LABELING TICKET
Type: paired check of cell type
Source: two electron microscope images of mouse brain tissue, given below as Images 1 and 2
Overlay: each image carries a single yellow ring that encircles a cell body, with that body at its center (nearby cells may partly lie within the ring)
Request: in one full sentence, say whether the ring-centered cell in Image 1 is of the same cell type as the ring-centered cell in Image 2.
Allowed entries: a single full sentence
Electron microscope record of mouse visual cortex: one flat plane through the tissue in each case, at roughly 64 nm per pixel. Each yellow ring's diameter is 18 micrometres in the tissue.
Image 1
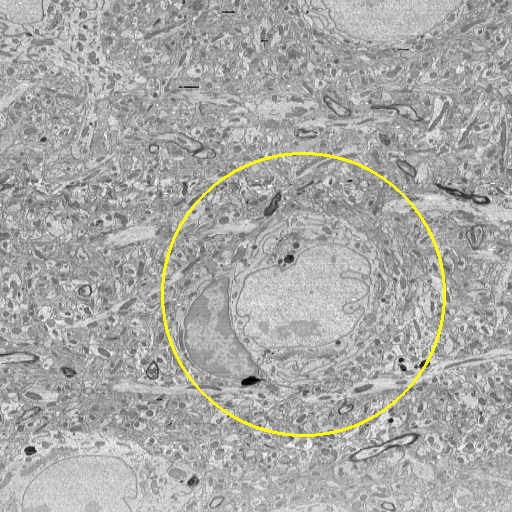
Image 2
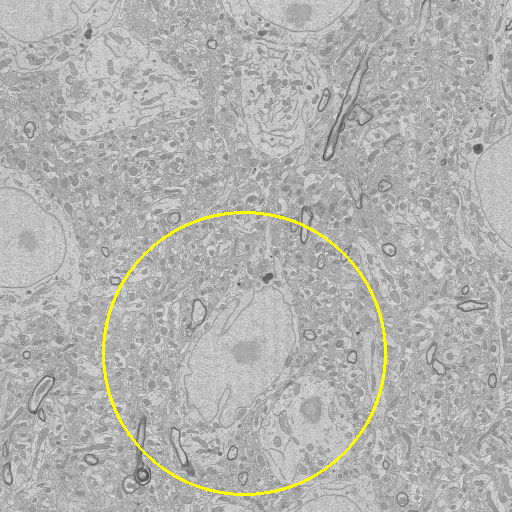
Yes, the cells centered in the rings of Image 1 and Image 2 share one type.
